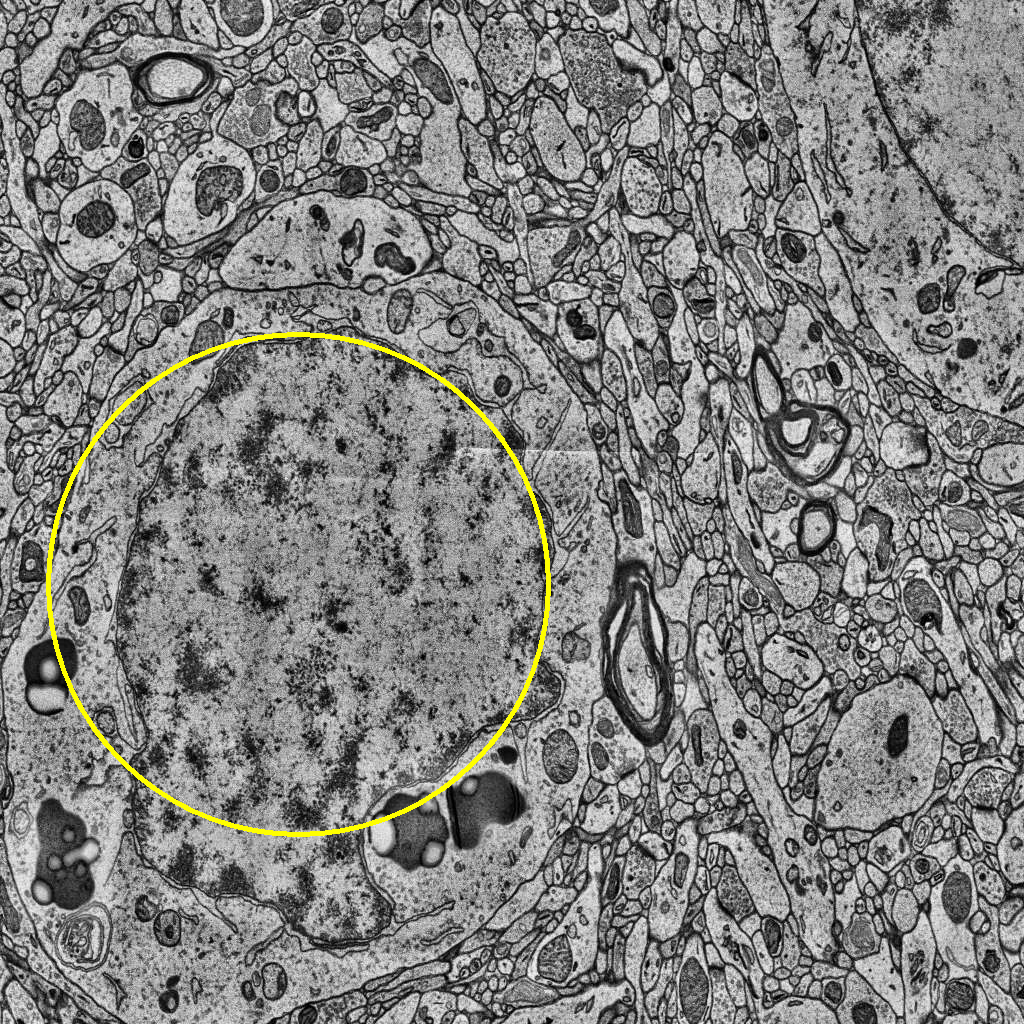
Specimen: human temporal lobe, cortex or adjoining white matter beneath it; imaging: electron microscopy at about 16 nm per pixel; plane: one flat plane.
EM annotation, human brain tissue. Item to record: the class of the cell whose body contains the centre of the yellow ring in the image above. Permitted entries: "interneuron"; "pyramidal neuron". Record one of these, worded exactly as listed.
interneuron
